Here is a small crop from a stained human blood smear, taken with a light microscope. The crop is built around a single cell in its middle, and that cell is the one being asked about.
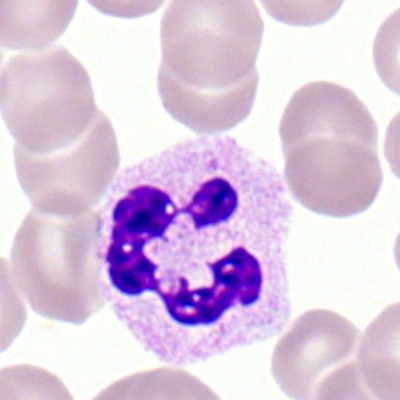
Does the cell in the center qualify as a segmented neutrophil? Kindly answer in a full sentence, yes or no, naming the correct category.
Yes, the cell at the midpoint of the crop is a segmented neutrophil.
